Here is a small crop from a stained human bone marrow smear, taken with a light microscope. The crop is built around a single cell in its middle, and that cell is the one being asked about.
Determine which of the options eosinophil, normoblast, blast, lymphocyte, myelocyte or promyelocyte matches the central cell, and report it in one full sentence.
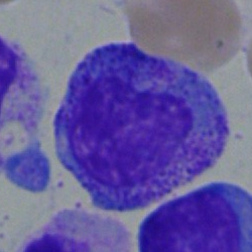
The central element of this crop is a cell, namely a promyelocyte.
